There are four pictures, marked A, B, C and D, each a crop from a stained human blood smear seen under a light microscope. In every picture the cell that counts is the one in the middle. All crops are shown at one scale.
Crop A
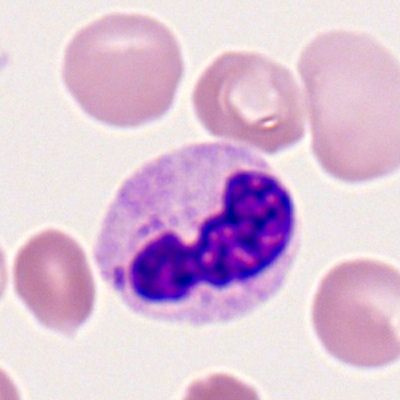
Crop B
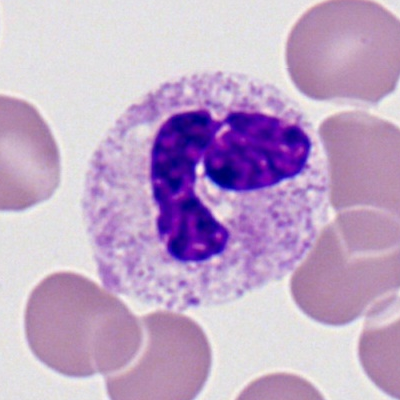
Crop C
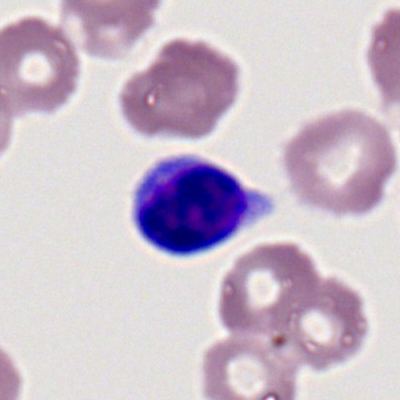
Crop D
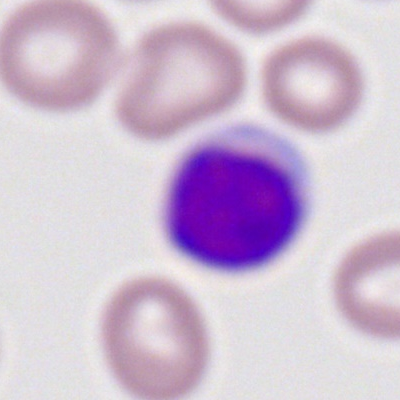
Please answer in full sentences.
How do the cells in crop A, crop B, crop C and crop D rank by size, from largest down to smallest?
The order is B, A, D, C, beginning with the largest.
